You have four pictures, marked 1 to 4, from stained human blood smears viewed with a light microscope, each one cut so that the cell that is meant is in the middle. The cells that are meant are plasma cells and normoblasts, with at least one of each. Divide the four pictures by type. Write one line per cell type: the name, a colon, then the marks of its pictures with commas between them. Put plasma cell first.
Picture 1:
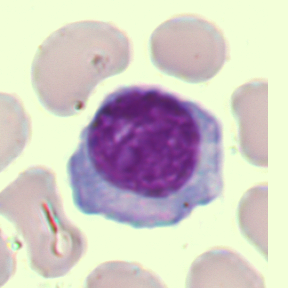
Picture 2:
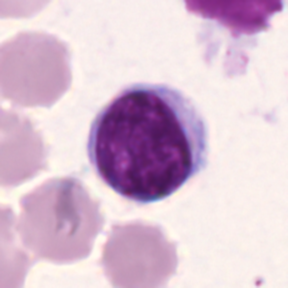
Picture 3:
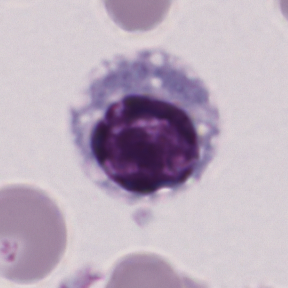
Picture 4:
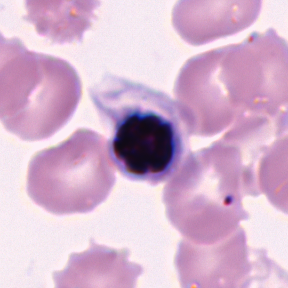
plasma cell: 1, 2, 3
normoblast: 4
